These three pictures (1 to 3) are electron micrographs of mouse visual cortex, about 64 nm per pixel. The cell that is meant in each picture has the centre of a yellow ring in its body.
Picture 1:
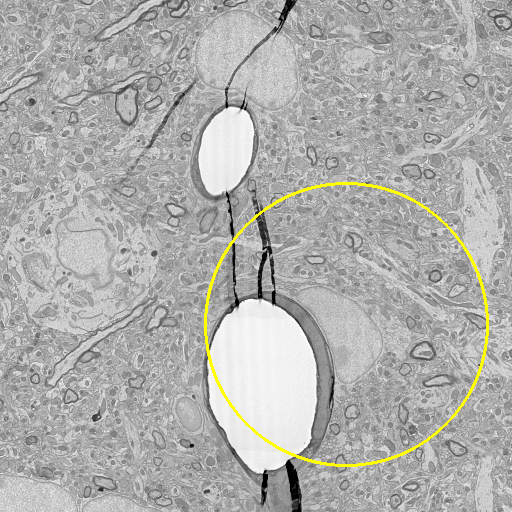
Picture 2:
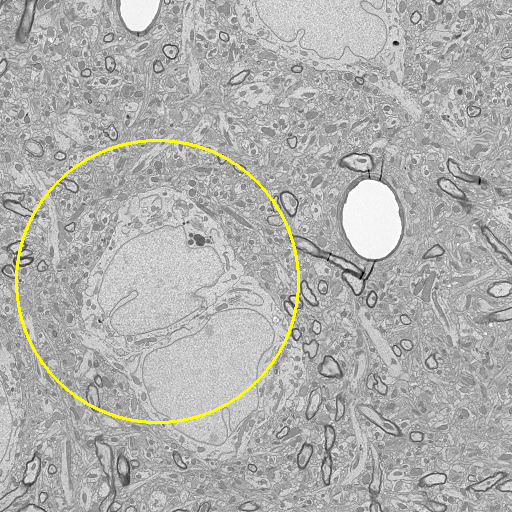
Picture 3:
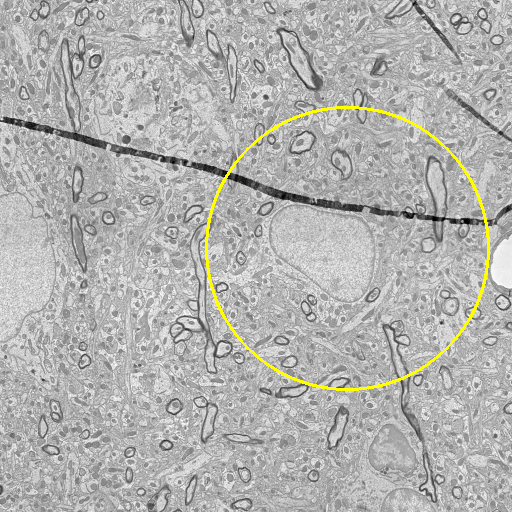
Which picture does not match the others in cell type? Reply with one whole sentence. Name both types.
All pictures except 2 show astrocytes; picture 2 shows an inhibitory neuron.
